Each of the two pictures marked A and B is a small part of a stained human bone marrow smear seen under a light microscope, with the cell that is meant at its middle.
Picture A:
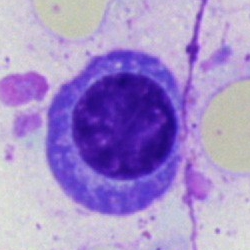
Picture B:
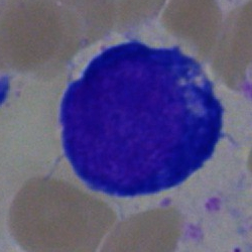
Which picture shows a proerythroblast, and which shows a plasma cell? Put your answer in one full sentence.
The cell in picture A is a plasma cell, and the one in picture B is a proerythroblast.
